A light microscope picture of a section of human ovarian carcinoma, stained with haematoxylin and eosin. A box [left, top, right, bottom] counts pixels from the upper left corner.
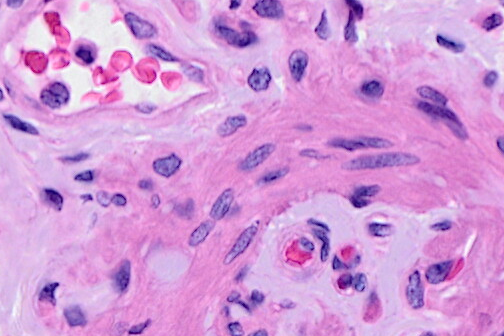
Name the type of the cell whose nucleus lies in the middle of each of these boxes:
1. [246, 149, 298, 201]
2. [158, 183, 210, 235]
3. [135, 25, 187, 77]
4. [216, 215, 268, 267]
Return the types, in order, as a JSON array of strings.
["smooth muscle cell", "smooth muscle cell", "endothelial cell", "smooth muscle cell"]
